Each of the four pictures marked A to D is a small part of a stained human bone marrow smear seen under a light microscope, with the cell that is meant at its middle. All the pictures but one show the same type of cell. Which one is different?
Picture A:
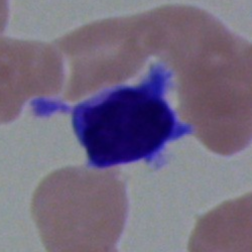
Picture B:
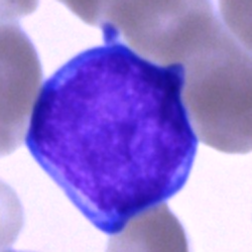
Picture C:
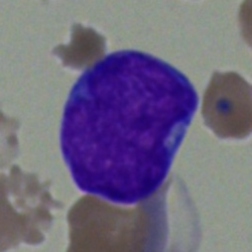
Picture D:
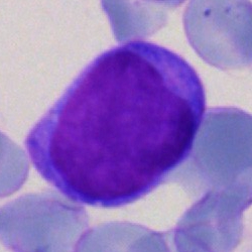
A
